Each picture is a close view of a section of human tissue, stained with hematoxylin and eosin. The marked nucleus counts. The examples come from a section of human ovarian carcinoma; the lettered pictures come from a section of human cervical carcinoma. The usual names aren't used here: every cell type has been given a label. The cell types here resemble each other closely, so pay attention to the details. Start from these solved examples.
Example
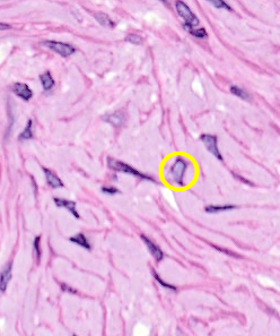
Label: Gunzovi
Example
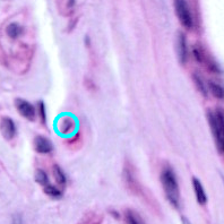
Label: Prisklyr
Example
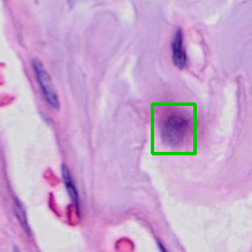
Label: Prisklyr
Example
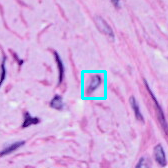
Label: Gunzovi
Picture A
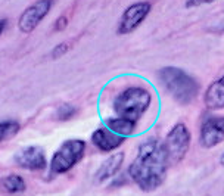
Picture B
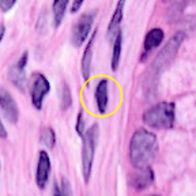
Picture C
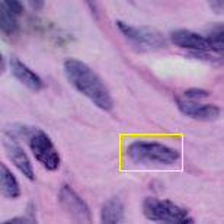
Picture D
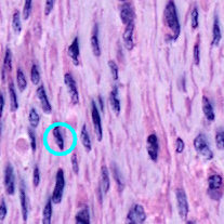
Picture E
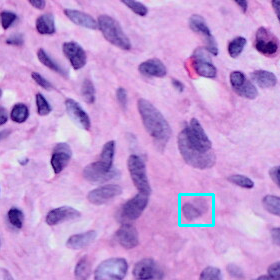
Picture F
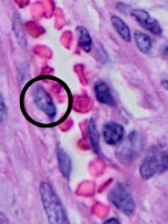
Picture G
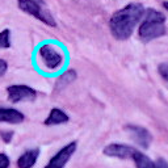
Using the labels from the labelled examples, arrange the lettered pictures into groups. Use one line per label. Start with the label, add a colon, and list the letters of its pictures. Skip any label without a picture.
Gunzovi: B, C, D, E, G
Prisklyr: A, F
